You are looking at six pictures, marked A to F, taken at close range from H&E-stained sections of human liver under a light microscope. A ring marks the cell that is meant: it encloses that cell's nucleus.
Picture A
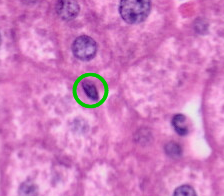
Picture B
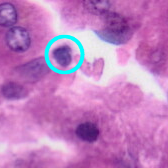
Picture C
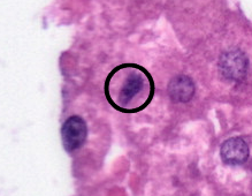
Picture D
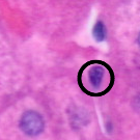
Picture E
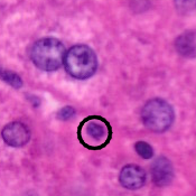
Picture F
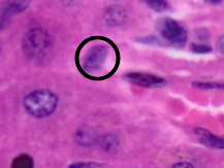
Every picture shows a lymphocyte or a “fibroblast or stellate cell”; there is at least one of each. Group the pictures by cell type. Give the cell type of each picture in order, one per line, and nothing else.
fibroblast or stellate cell
lymphocyte
fibroblast or stellate cell
lymphocyte
lymphocyte
fibroblast or stellate cell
